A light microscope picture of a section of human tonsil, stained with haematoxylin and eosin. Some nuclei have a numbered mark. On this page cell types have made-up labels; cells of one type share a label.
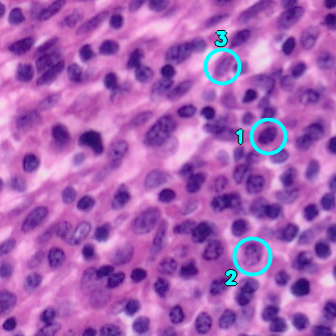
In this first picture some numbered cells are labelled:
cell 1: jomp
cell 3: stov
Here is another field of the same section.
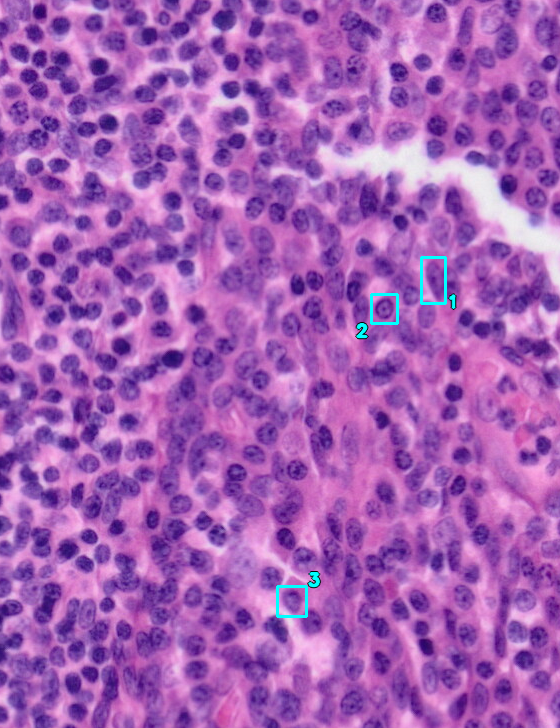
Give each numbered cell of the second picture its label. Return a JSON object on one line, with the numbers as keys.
{"1": "stov", "2": "jomp", "3": "jomp"}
